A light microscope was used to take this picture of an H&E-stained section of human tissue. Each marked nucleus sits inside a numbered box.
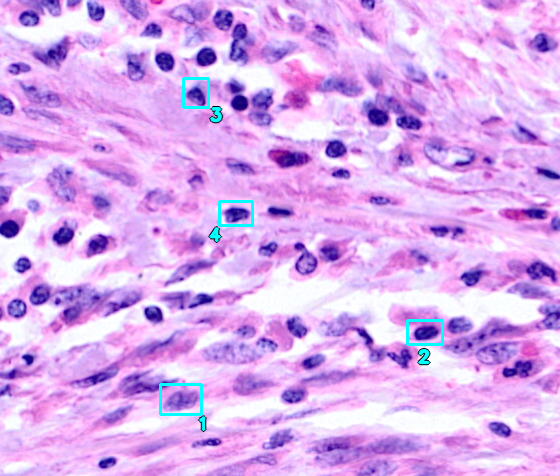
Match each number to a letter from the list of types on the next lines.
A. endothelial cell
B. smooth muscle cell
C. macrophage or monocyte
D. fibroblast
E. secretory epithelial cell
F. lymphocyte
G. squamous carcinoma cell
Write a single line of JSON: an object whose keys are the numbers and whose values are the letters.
{"1": "C", "2": "F", "3": "F", "4": "F"}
